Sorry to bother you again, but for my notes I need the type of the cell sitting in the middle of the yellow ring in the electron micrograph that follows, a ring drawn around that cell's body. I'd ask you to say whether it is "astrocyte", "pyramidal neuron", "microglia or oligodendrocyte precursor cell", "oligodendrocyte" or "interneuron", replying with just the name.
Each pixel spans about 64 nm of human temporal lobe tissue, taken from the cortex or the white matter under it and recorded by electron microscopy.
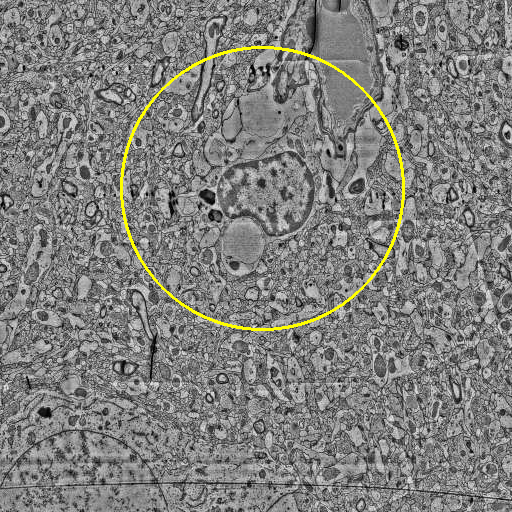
microglia or oligodendrocyte precursor cell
